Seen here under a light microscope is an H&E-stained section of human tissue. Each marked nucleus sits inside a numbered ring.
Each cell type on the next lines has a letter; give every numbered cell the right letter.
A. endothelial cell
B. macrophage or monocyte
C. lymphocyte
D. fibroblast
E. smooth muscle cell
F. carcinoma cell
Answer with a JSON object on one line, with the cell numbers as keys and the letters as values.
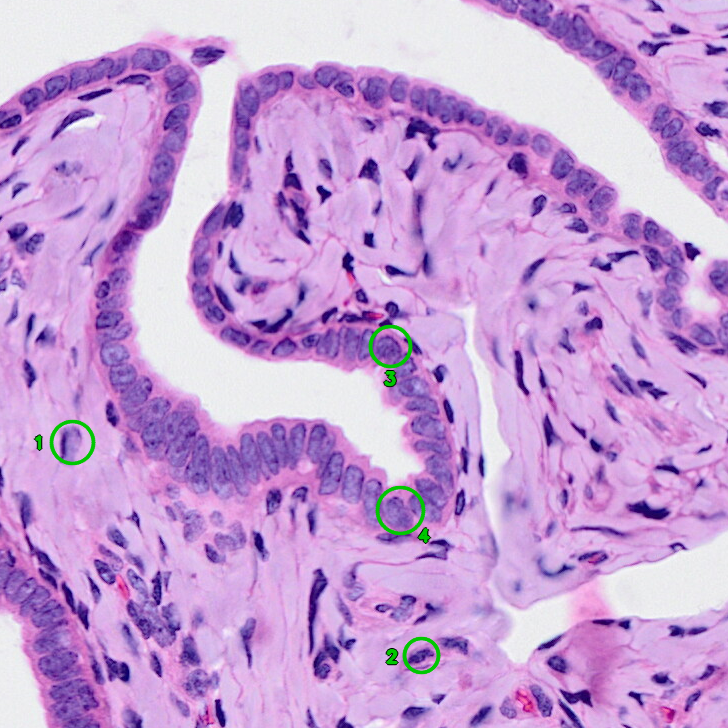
{"1": "D", "2": "A", "3": "F", "4": "F"}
